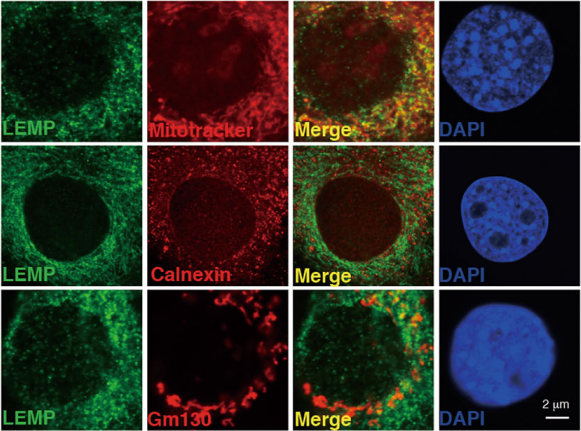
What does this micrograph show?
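These are high-magnification views of single cultured cells around their nucleus, each row pairing a green cytoplasmic signal with a red organelle stain. The green signal is a fine network of puncta and threads filling the cytoplasm around the nucleus and sparing the nucleus itself. In the top row the red mitochondria appear as small puncta and threads around the nucleus and partly overlap the green, giving yellow in the merge. In the bottom row the red Golgi forms compact ribbon-like clusters beside the nucleus.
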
